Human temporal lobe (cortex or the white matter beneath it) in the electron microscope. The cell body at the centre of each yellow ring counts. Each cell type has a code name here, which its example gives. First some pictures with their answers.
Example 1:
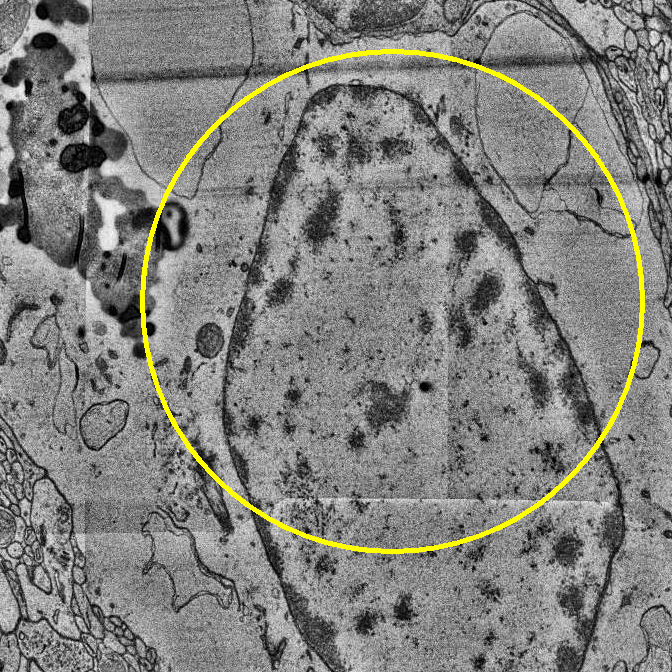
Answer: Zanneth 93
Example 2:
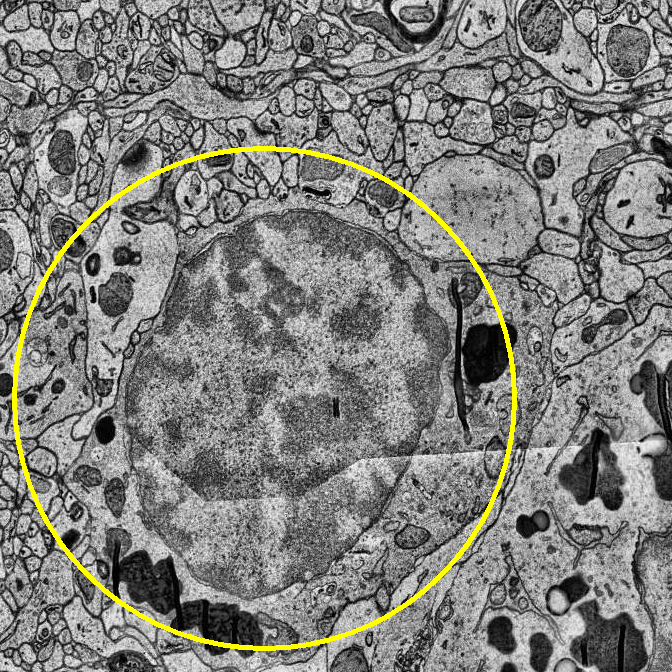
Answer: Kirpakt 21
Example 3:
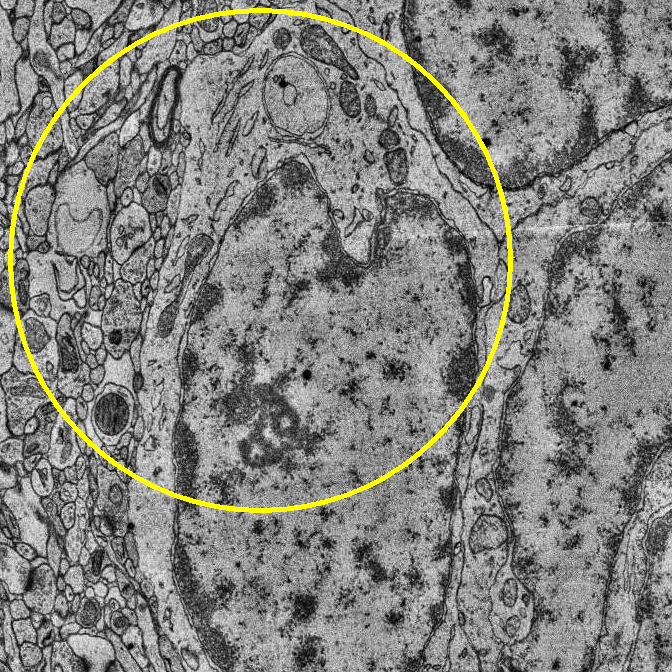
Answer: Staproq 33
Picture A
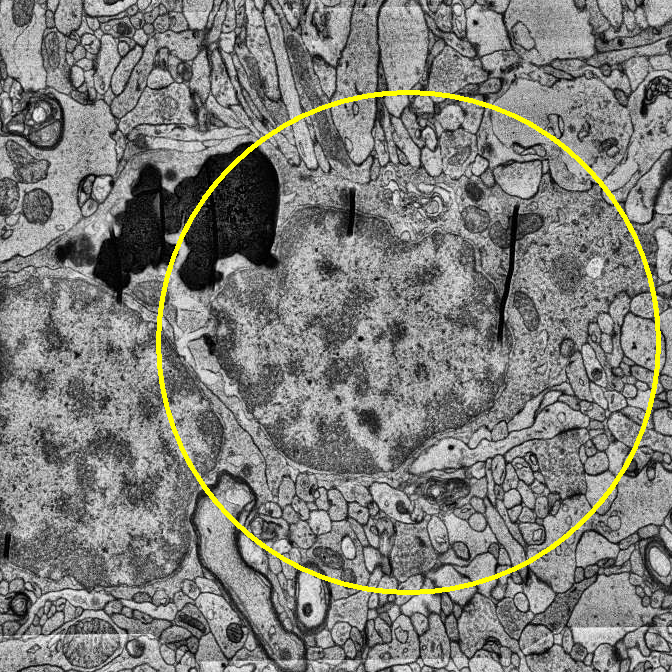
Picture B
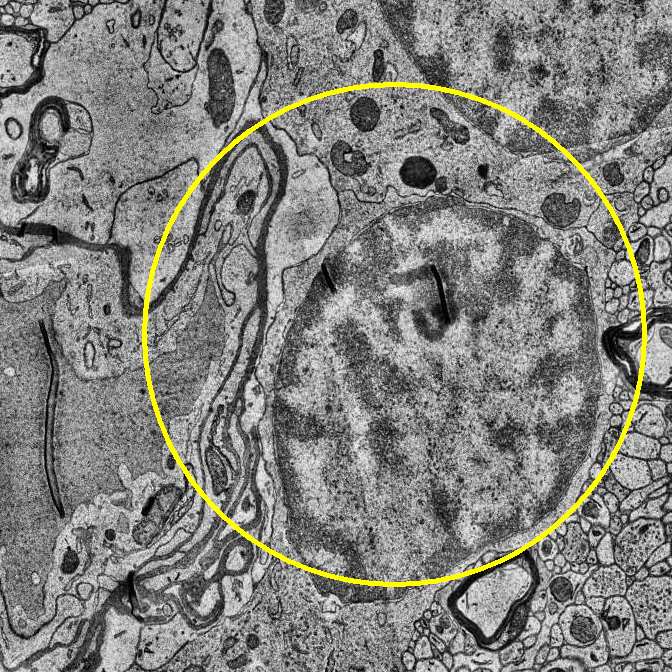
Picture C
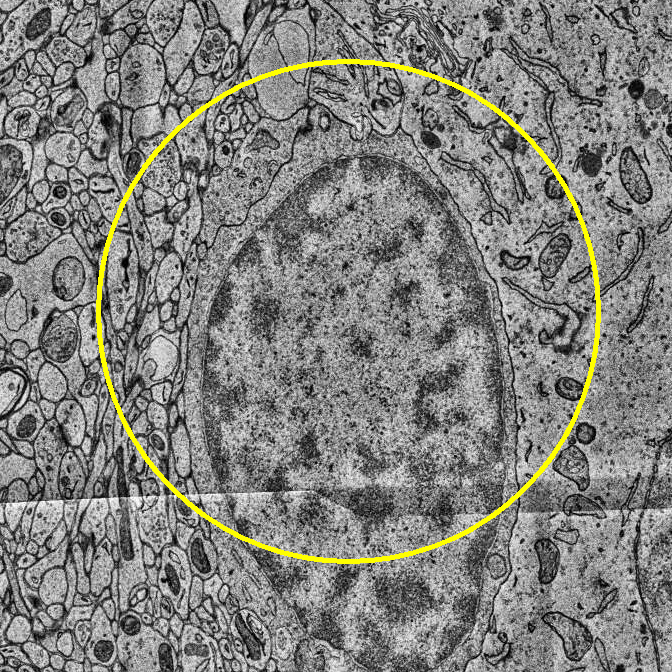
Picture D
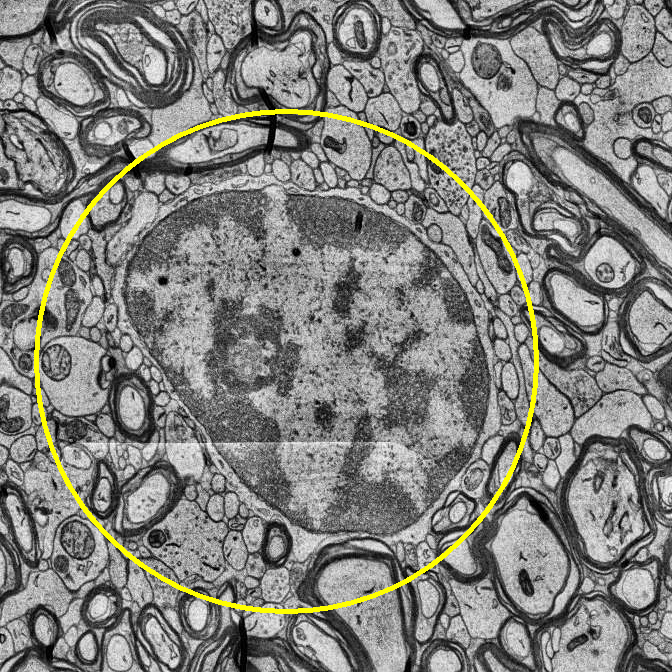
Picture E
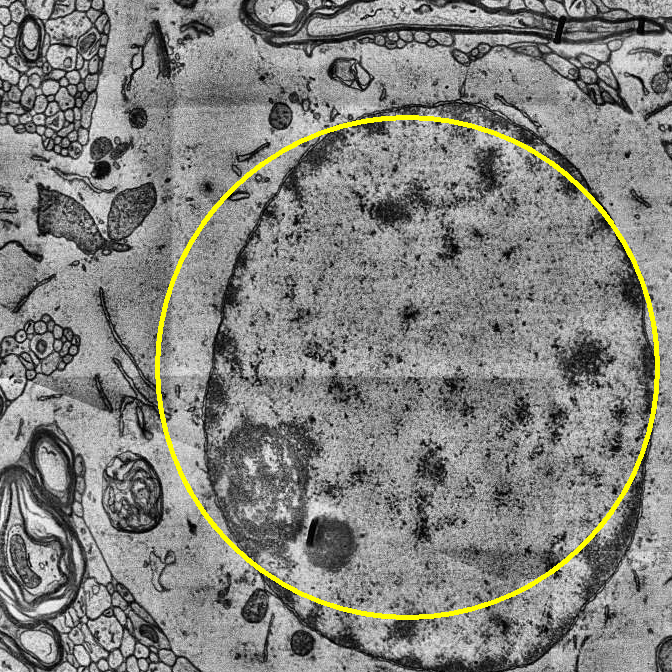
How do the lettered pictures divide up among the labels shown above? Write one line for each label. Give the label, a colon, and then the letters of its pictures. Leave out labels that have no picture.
Zanneth 93: E
Kirpakt 21: A, B, C
Staproq 33: D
